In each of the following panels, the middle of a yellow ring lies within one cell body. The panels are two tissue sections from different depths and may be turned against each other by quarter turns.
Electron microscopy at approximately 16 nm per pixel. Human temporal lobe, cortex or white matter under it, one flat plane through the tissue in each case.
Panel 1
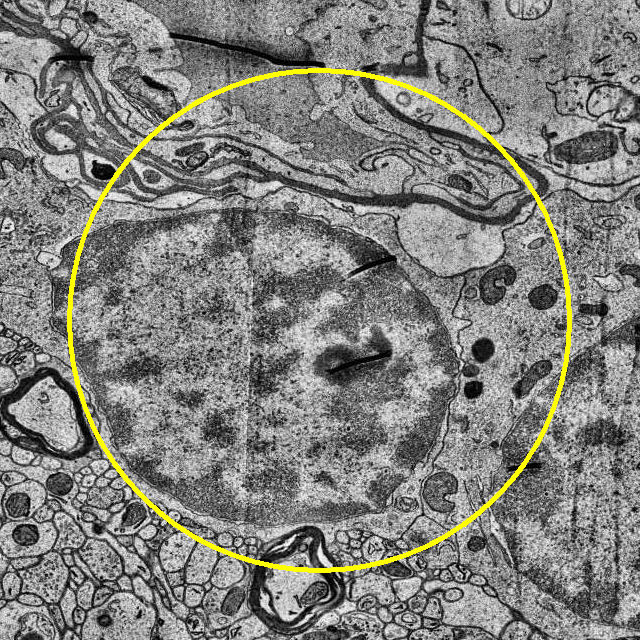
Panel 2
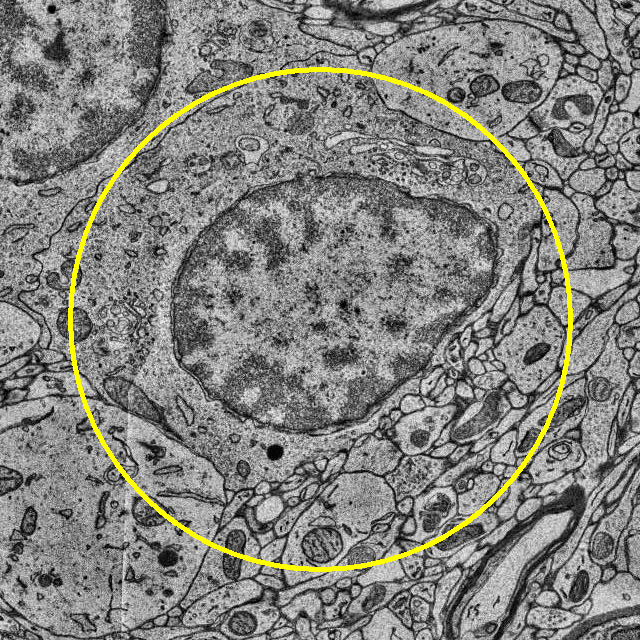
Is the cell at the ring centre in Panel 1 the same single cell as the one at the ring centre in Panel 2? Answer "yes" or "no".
no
